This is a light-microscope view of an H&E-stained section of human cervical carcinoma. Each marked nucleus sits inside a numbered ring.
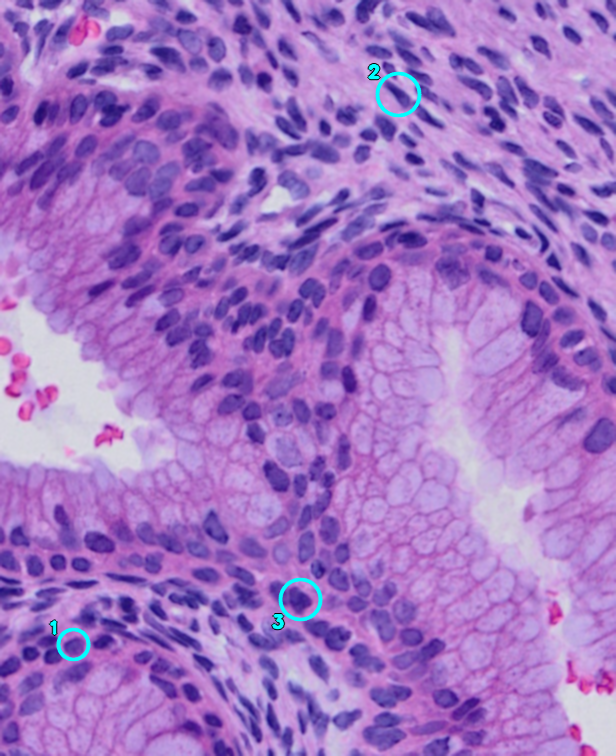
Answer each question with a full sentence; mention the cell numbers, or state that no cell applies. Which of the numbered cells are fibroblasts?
Across all the numbered cells, only number 2 is a fibroblast.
